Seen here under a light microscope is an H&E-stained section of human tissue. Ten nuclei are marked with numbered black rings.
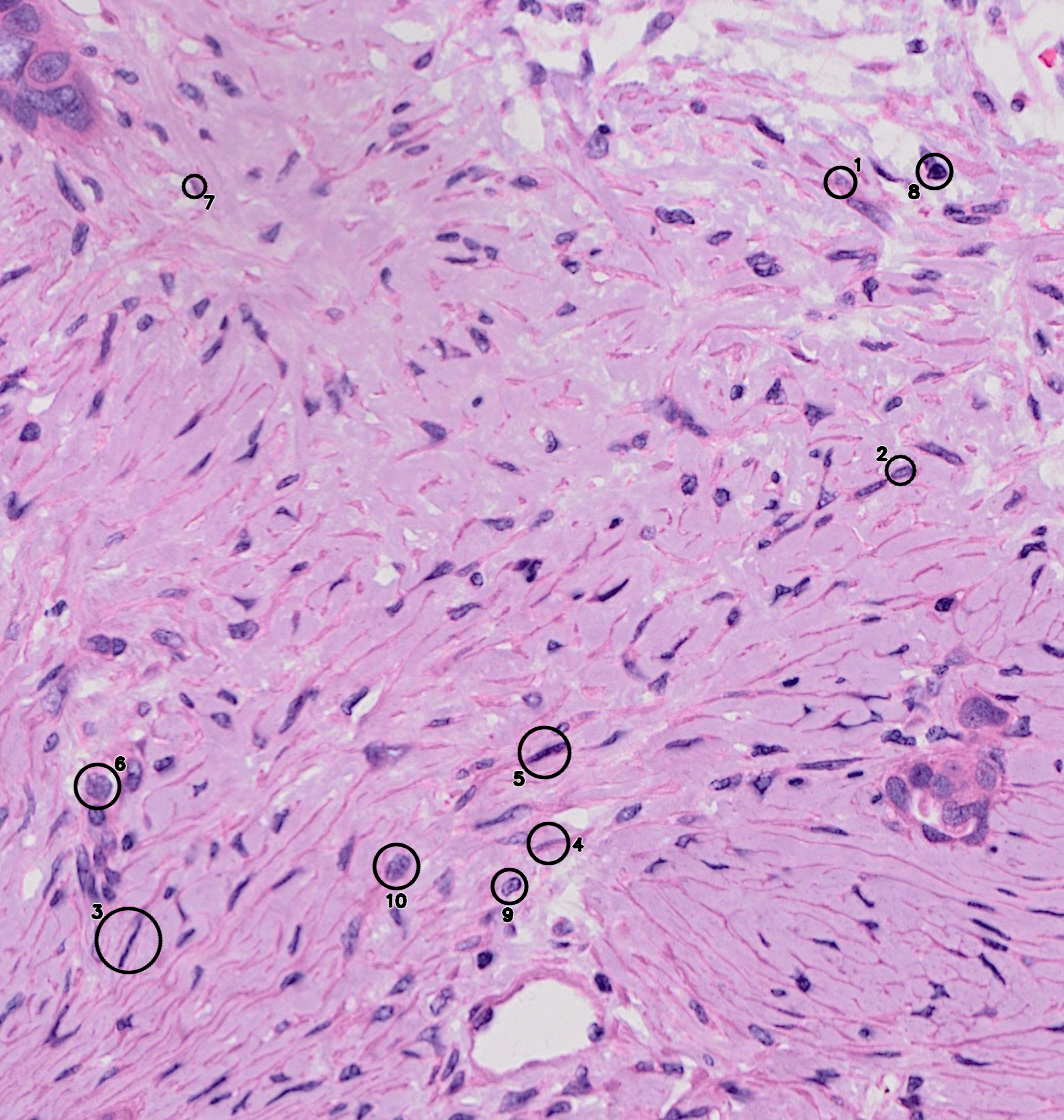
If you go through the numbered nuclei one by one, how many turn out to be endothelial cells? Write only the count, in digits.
1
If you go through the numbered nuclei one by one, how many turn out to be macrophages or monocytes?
1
